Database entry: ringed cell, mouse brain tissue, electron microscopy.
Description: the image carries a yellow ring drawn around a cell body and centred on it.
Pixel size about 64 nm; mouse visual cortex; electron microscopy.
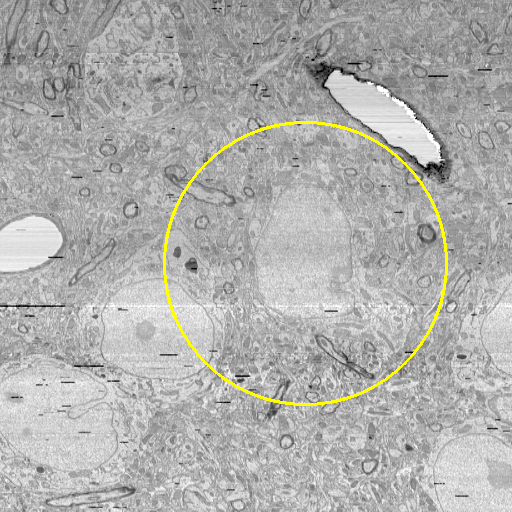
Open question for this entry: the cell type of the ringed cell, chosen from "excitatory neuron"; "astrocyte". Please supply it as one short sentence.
The ringed cell is an astrocyte.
